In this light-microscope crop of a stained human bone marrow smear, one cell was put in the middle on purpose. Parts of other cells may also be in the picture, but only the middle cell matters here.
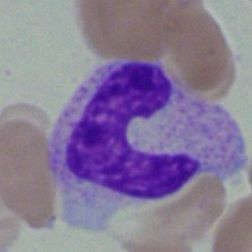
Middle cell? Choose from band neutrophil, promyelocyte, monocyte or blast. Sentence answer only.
Among the cells in view, the one in the middle is a band neutrophil.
